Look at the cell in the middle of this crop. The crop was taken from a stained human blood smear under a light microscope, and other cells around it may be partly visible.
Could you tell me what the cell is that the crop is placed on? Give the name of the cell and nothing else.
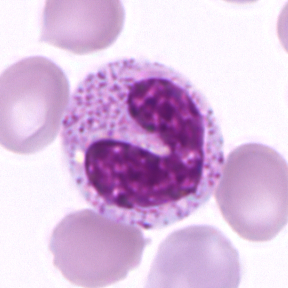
band neutrophil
